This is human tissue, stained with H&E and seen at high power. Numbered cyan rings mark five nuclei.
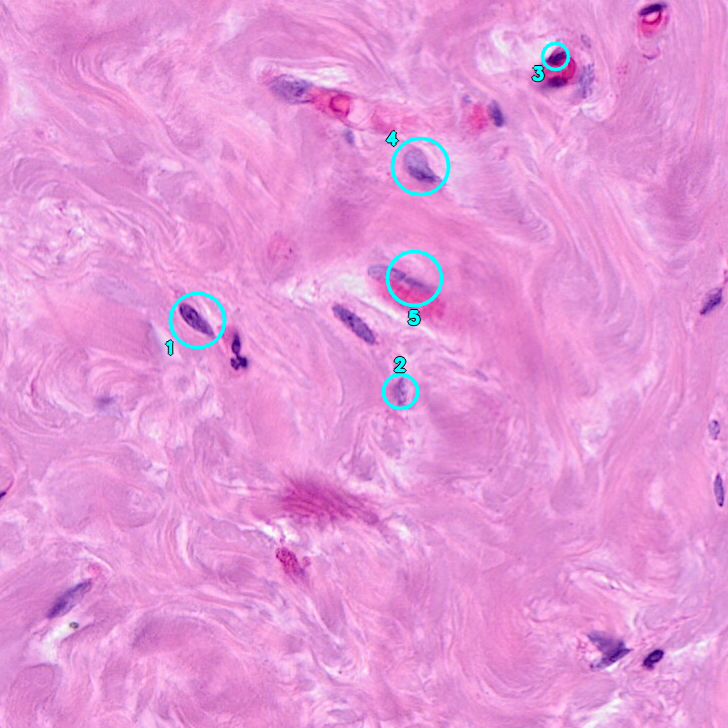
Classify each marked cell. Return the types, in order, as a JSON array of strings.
["fibroblast", "fibroblast", "endothelial cell", "fibroblast", "endothelial cell"]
